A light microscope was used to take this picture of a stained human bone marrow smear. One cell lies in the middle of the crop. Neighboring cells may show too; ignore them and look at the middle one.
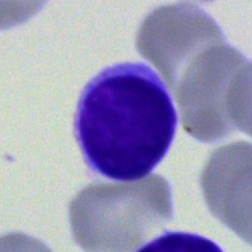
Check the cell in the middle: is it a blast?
no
